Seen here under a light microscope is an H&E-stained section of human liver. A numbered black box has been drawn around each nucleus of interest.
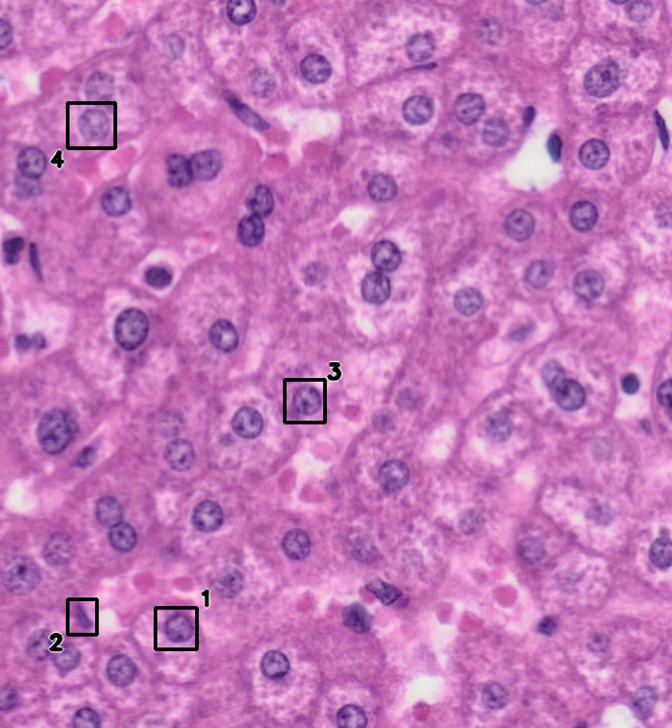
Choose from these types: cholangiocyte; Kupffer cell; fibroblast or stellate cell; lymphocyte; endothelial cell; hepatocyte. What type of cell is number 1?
hepatocyte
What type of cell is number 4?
hepatocyte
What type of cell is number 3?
hepatocyte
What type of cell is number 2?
endothelial cell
